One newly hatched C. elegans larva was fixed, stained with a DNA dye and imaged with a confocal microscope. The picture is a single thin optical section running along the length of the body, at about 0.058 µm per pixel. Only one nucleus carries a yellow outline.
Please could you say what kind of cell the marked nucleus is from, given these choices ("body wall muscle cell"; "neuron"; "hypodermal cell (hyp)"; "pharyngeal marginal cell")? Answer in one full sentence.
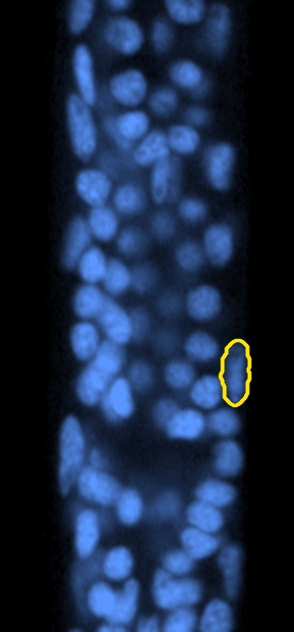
The marked cell is a hypodermal cell (hyp).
